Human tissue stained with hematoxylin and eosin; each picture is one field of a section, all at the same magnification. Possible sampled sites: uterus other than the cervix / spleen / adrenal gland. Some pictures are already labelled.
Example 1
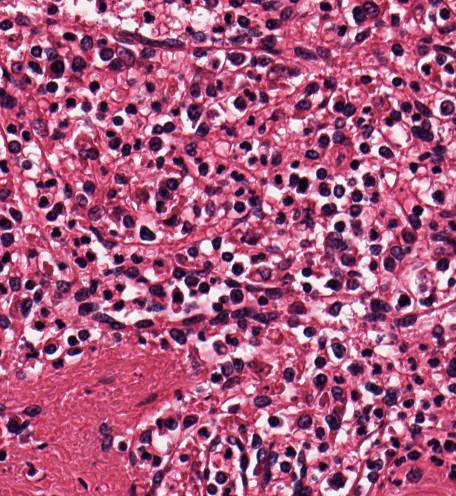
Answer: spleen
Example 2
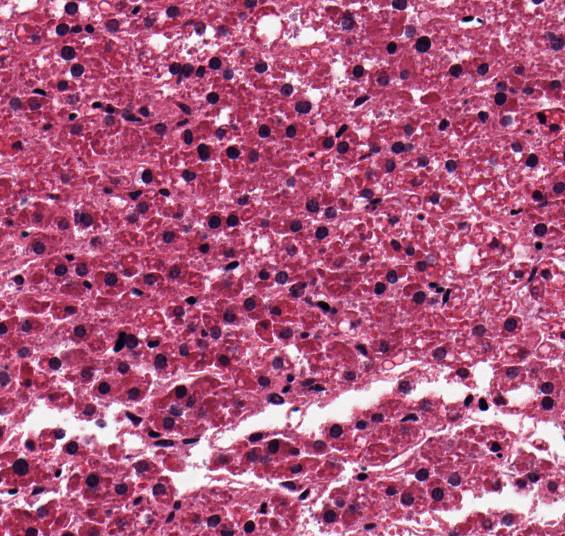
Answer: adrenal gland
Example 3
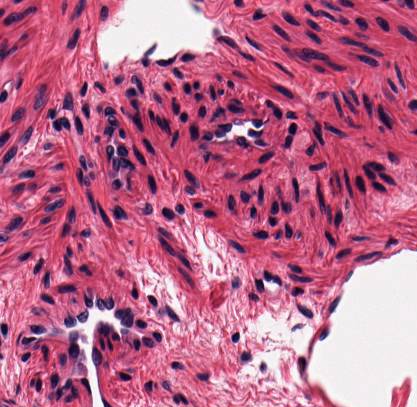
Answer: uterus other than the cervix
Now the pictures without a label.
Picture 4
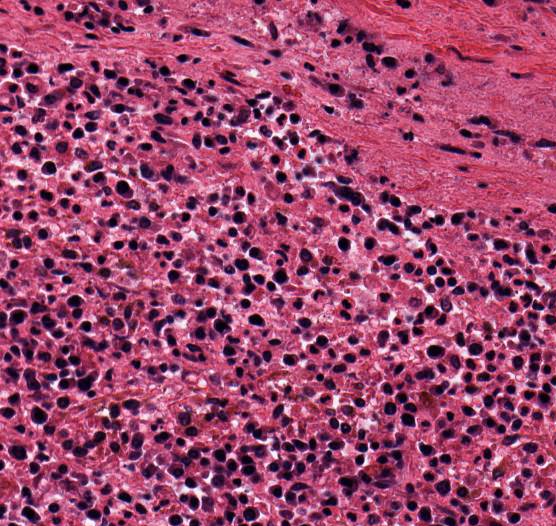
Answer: spleen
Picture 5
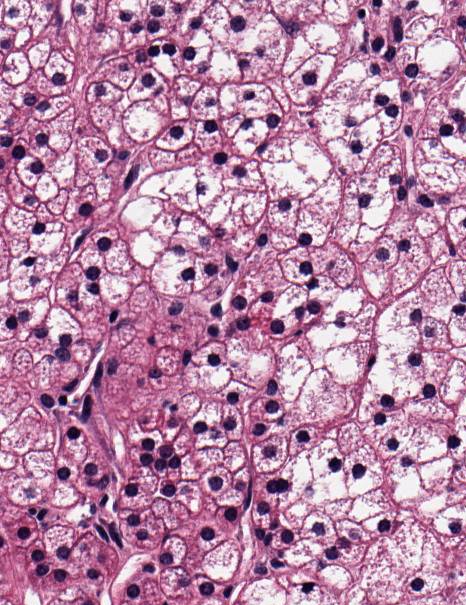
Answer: adrenal gland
